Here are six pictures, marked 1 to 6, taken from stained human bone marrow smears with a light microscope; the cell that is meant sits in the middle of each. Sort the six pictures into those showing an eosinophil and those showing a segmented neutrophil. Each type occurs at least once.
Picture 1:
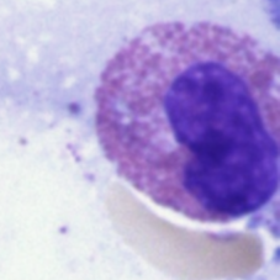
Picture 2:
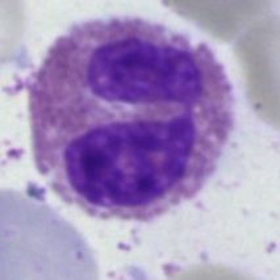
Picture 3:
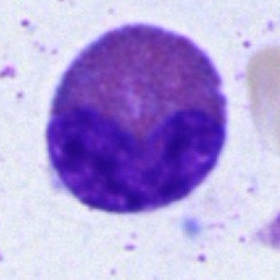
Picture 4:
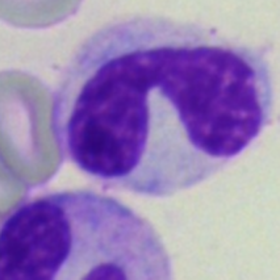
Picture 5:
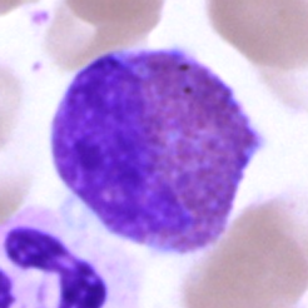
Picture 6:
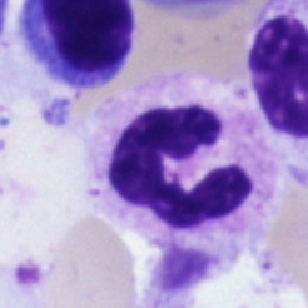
1: eosinophil
2: eosinophil
3: eosinophil
4: segmented neutrophil
5: eosinophil
6: segmented neutrophil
